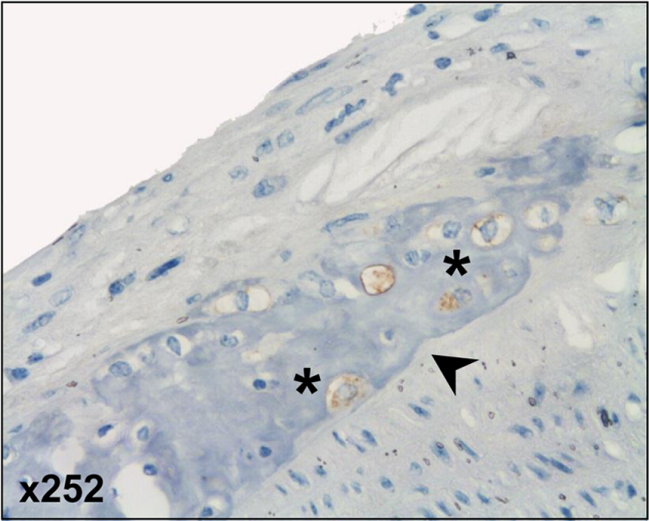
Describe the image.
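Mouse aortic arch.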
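The lesion lies between the empty lumen at upper left and the media at lower right. It contains a bluish amorphous matrix, pale vacuolated cells and elongated clefts. A sharp diagonal line separates it from the media, where spindle-shaped nuclei run in orderly parallel rows. Toward the lumen, the surface layer carries flattened elongated nuclei.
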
